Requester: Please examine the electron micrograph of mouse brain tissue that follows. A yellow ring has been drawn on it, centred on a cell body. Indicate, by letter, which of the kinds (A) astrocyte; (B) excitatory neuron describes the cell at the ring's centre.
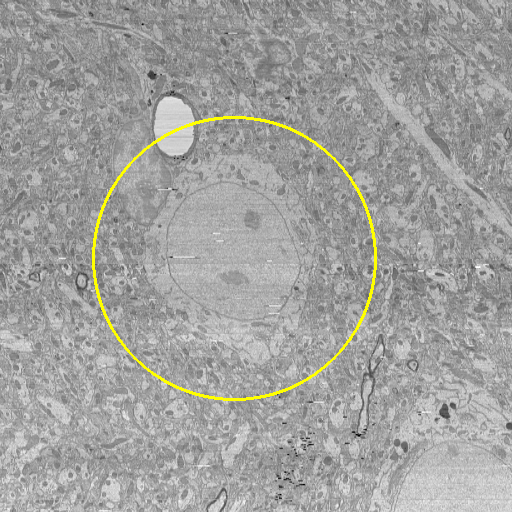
B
